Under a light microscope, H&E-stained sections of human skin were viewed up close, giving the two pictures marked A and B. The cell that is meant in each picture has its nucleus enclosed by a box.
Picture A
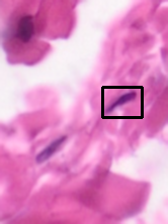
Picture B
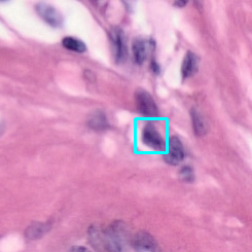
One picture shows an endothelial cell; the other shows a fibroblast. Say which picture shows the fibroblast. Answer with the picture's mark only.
A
